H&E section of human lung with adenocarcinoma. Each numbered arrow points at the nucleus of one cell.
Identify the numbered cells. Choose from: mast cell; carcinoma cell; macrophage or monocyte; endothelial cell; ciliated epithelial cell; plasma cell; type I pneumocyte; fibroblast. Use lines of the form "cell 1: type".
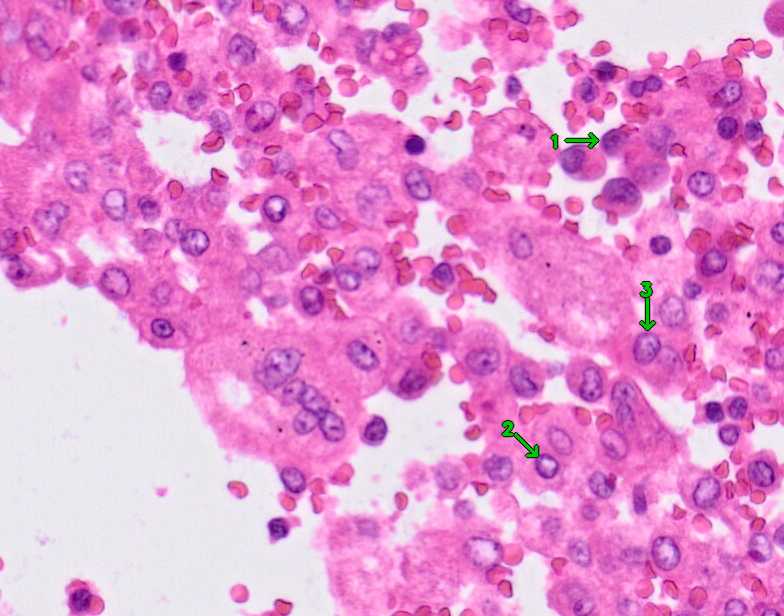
cell 1: carcinoma cell
cell 2: macrophage or monocyte
cell 3: macrophage or monocyte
